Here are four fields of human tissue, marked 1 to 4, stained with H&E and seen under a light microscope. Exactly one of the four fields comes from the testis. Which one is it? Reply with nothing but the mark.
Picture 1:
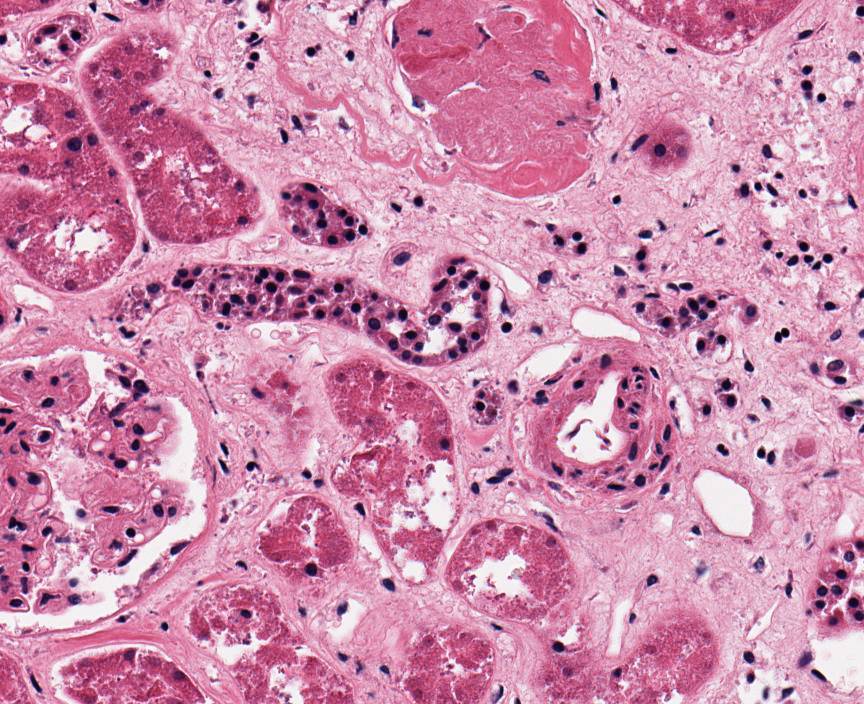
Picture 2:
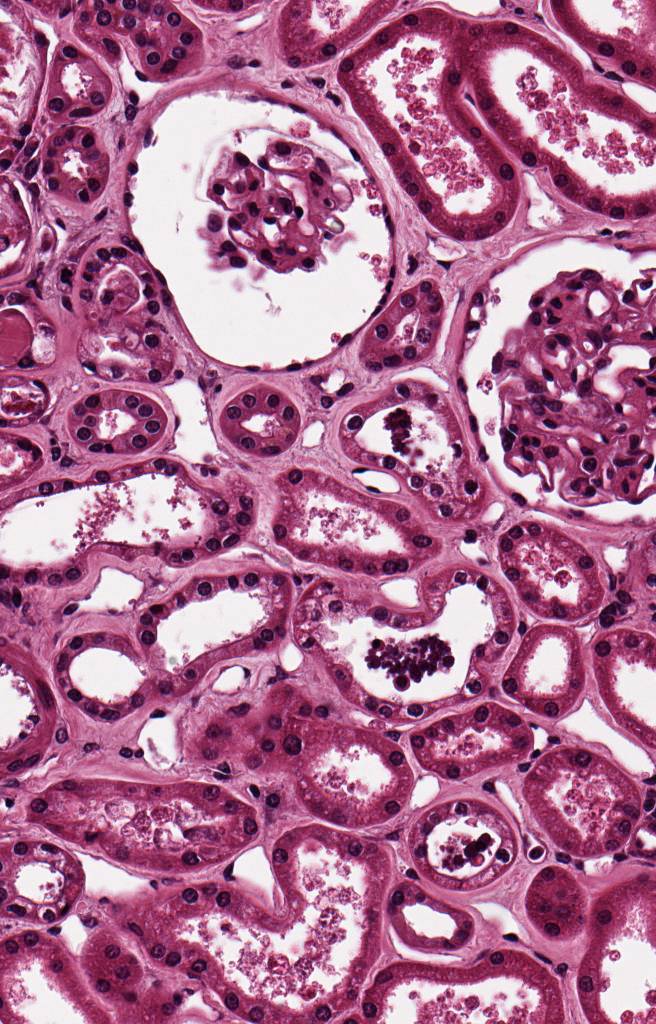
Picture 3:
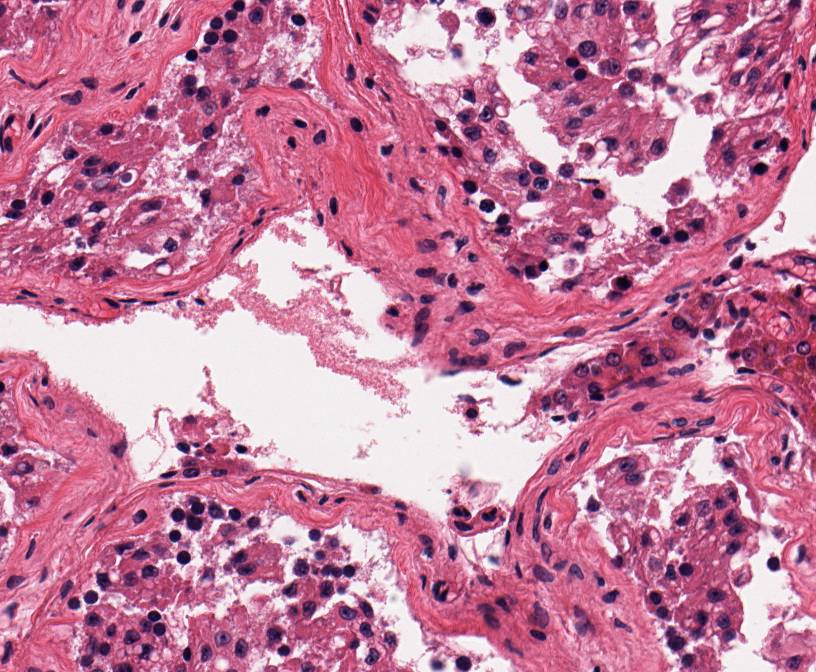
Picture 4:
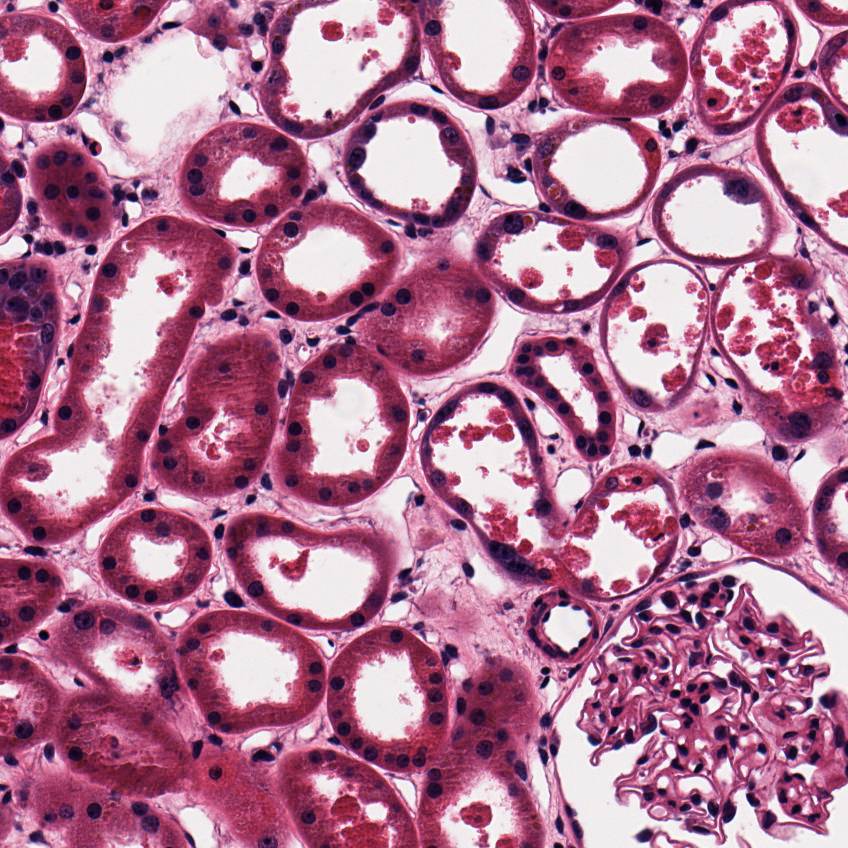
3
